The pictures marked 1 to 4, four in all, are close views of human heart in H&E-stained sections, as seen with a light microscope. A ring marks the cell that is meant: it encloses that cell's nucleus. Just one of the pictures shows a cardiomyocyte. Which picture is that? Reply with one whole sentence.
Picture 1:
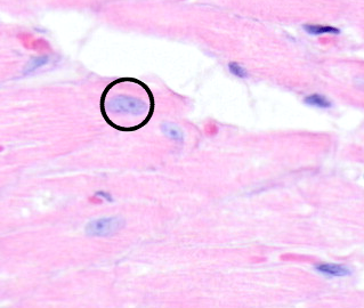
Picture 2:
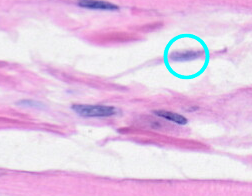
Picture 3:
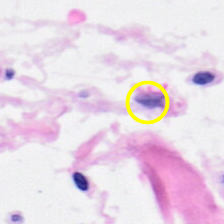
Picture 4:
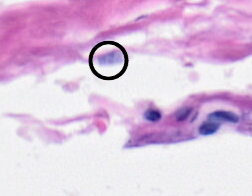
The cardiomyocyte is the one in picture 1.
